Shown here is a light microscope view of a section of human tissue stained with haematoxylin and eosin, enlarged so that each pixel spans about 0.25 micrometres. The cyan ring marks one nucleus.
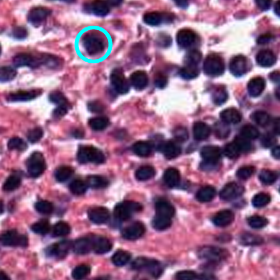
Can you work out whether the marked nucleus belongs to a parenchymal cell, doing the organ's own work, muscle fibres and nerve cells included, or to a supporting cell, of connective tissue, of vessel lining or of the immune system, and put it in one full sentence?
Designated as that of a supporting cell is the marked nucleus.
